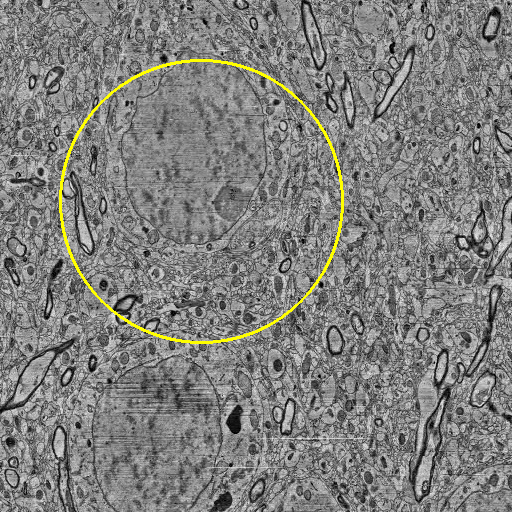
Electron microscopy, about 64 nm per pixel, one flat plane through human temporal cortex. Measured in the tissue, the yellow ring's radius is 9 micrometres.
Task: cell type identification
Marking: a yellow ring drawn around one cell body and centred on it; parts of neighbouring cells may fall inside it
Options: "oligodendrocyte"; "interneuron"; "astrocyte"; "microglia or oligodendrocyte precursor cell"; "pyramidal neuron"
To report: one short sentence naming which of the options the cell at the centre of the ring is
The cell at the centre of the ring is a pyramidal neuron.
